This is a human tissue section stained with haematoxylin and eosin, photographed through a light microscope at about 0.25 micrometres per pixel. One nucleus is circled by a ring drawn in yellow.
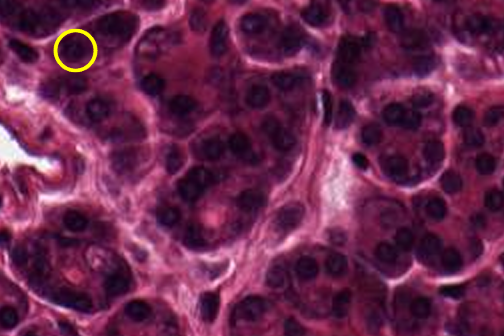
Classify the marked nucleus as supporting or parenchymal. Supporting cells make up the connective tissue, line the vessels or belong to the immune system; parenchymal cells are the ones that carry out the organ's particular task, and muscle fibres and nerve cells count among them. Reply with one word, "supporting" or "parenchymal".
parenchymal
